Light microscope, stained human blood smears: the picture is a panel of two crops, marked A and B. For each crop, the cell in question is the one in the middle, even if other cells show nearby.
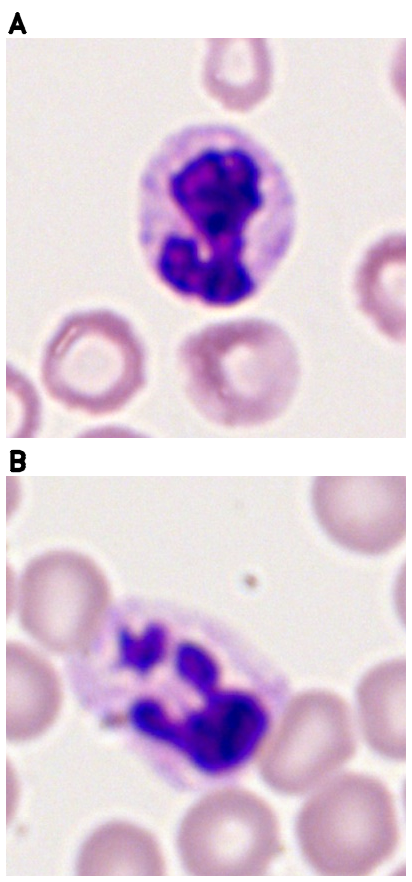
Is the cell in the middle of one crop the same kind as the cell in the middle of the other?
yes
